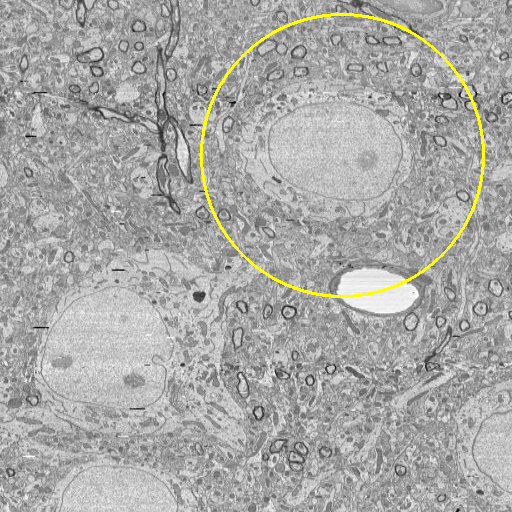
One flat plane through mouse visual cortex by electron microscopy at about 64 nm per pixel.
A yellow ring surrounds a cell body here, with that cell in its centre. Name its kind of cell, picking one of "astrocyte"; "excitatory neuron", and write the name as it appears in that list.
excitatory neuron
